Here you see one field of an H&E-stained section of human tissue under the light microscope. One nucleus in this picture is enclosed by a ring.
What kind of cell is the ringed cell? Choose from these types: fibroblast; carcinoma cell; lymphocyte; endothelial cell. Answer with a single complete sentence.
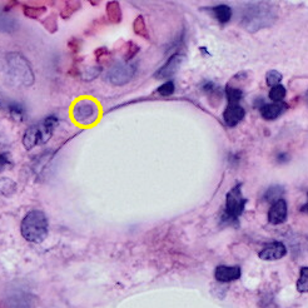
The cell meant here is an endothelial cell.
